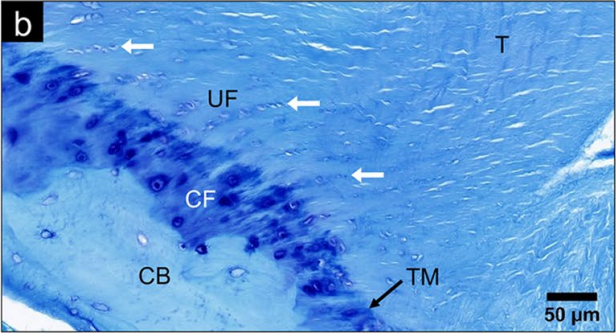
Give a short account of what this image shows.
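This is a fibrocartilaginous tendon-to-bone attachment, with pale blue tendon above, a zone of fibrocartilage in the middle and pale cortical bone at the lower left. A broad band runs diagonally across the field, packed with rounded cells in lacunae whose nuclei and surroundings stain deep purple, marking calcified fibrocartilage. Above it, in the paler uncalcified fibrocartilage, smaller rounded fibrochondrocytes lie in short curved columns between the collagen bundles.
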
